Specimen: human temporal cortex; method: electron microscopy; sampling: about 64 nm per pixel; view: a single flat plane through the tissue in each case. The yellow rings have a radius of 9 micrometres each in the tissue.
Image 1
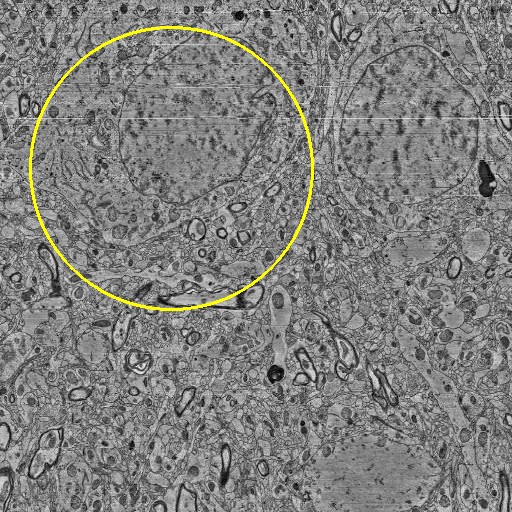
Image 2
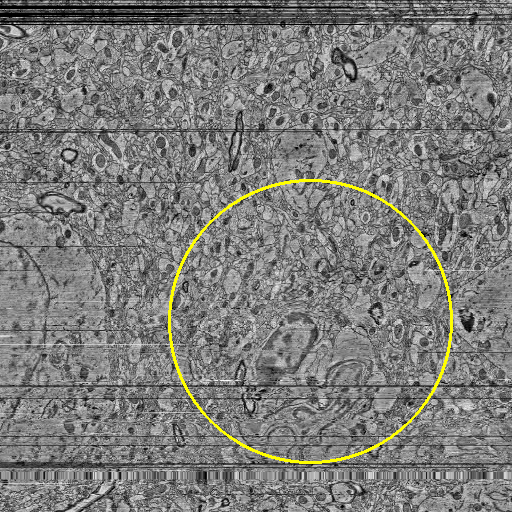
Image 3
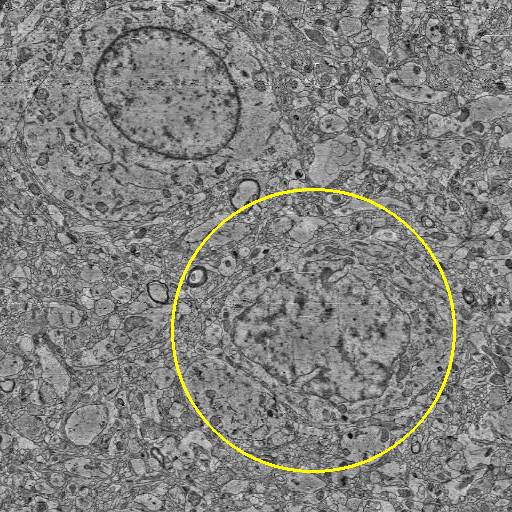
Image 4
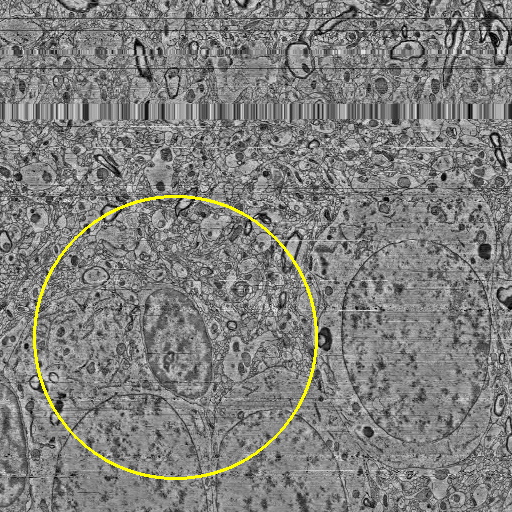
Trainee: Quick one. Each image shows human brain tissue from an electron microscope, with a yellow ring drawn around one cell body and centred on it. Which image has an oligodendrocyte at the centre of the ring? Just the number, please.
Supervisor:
4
